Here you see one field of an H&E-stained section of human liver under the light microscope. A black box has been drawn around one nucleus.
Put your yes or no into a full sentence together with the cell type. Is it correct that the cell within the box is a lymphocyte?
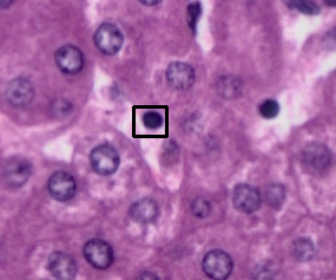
Yes, the identity of the cell within the box is that of a lymphocyte.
